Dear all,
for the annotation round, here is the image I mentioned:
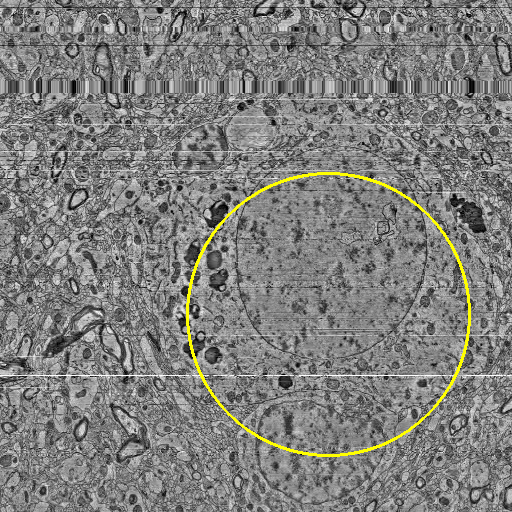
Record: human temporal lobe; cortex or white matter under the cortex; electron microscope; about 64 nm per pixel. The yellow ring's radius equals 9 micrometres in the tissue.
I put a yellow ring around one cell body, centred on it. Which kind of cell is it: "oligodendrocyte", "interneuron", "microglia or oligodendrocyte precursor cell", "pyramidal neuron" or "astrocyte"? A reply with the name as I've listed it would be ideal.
pyramidal neuron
